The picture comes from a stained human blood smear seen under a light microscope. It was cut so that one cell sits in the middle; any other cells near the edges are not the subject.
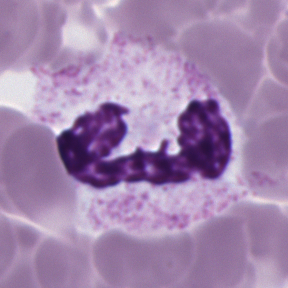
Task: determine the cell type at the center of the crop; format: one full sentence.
Occupying the centre of the crop is a neutrophil.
